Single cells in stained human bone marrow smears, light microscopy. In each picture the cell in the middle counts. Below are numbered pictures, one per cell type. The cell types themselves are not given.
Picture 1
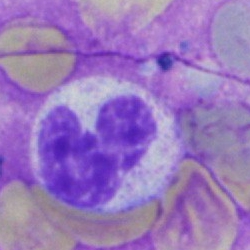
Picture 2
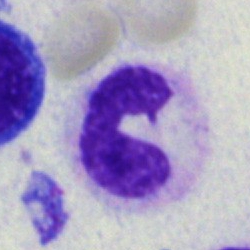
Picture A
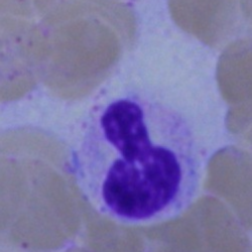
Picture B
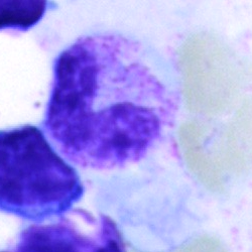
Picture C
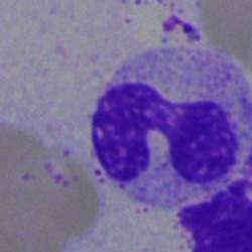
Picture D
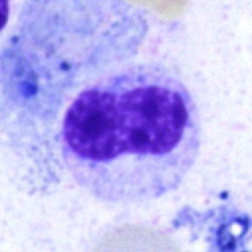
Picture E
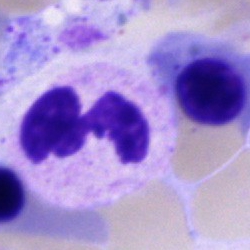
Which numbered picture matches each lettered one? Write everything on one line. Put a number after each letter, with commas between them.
A 1, B 2, C 2, D 2, E 1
